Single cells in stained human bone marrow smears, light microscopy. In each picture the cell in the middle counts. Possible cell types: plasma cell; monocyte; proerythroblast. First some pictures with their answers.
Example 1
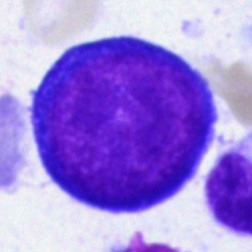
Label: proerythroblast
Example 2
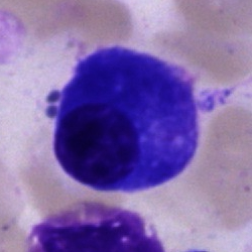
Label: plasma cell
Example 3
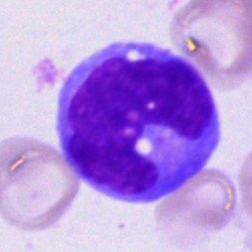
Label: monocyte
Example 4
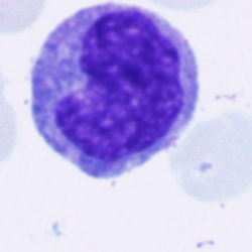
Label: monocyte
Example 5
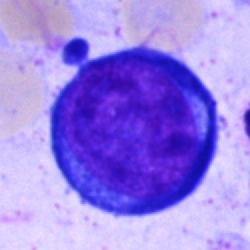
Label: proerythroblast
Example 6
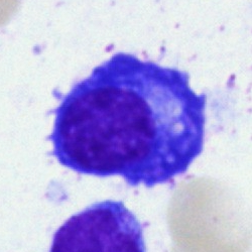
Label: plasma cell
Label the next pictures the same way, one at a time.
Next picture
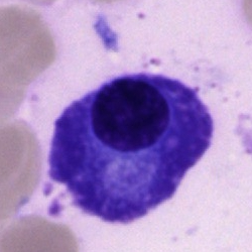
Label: plasma cell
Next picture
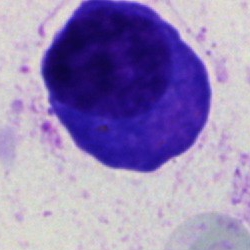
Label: plasma cell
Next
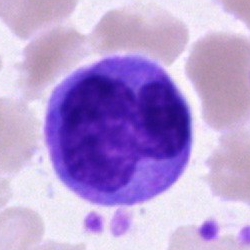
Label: monocyte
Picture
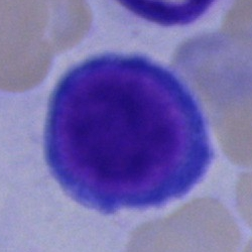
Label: proerythroblast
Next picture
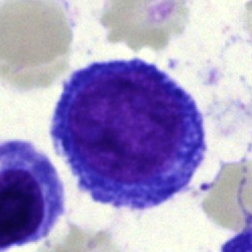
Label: proerythroblast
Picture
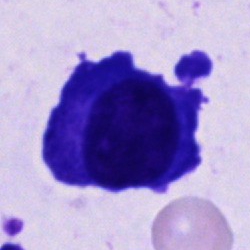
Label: plasma cell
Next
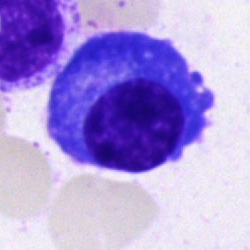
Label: plasma cell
